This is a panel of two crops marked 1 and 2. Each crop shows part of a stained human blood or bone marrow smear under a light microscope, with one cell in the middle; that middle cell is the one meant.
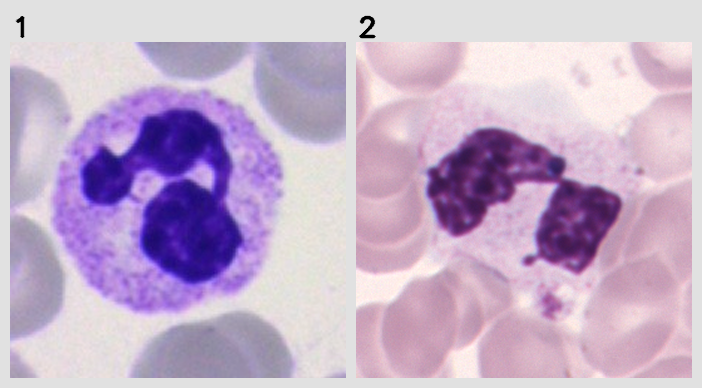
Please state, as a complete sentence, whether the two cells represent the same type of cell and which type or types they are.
Yes, the cells at the centre of both crops are segmented neutrophils.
